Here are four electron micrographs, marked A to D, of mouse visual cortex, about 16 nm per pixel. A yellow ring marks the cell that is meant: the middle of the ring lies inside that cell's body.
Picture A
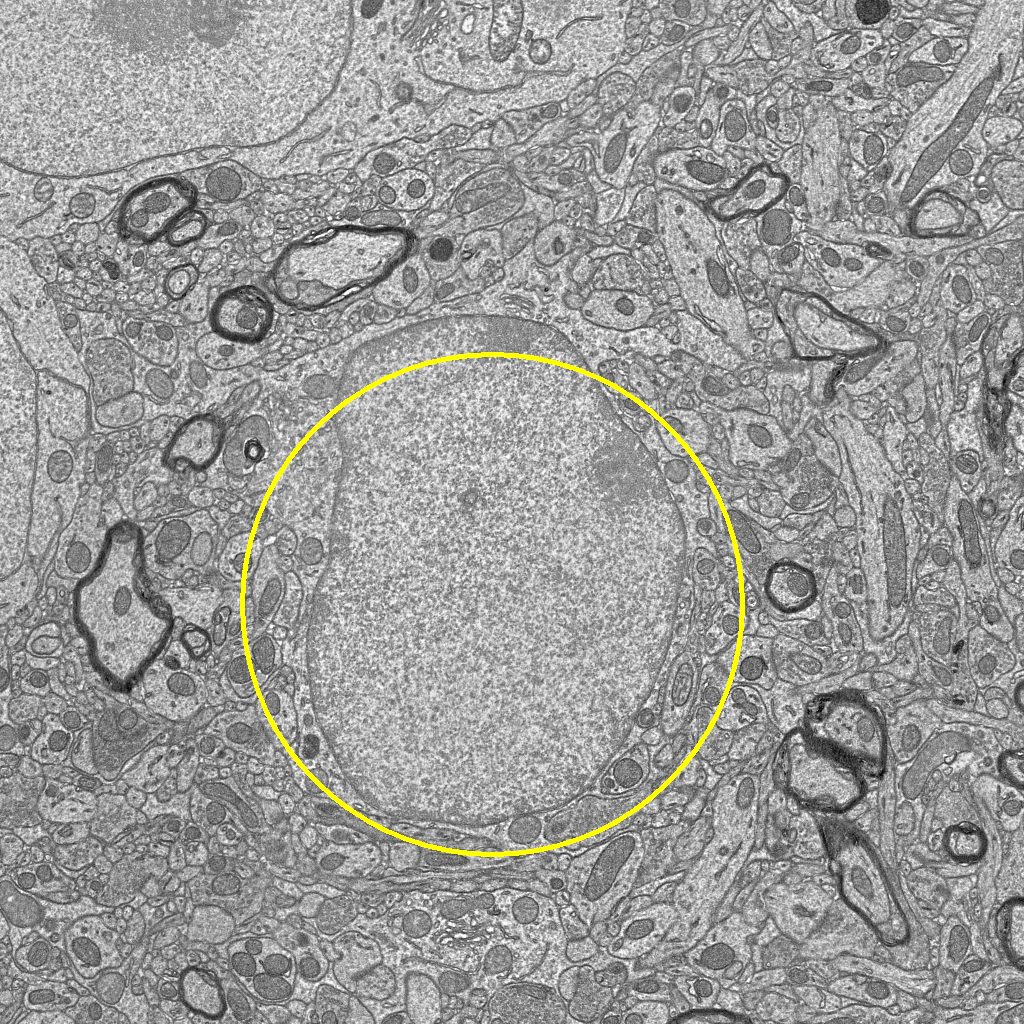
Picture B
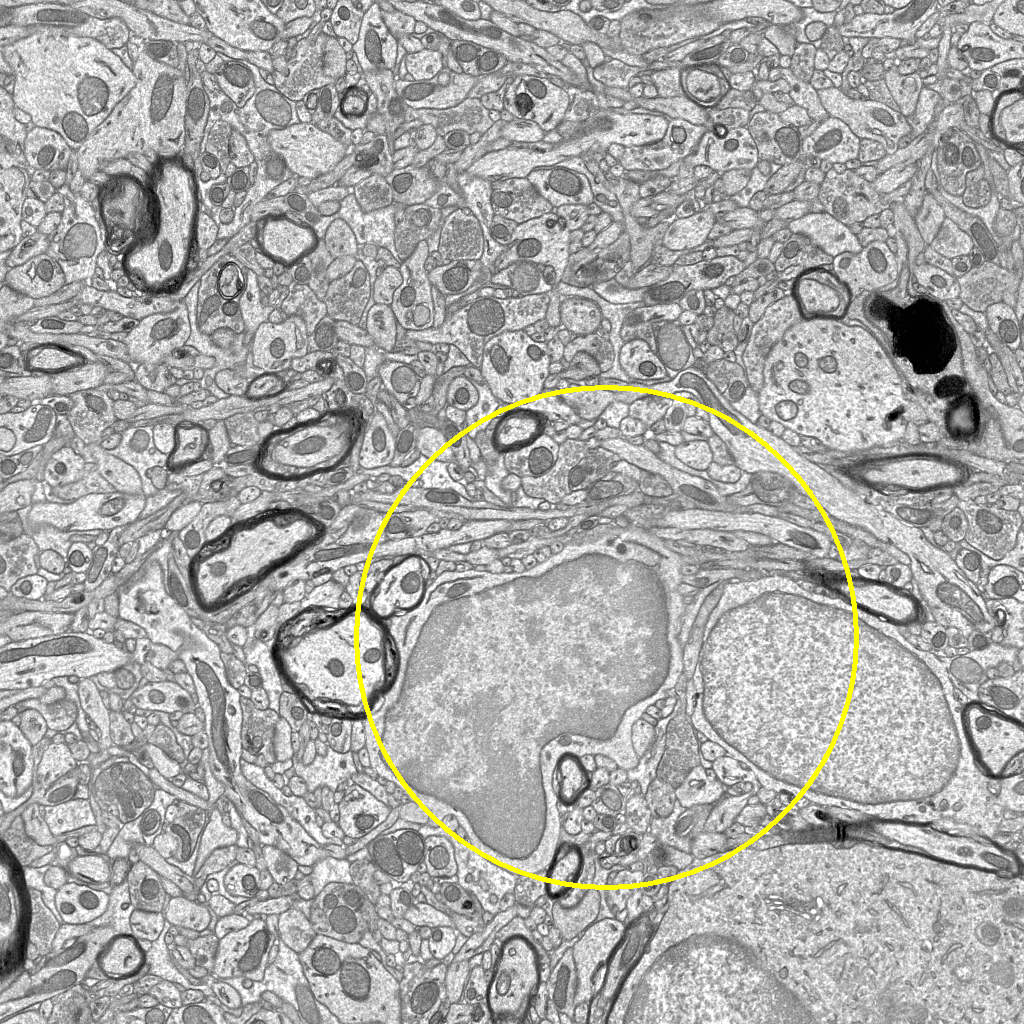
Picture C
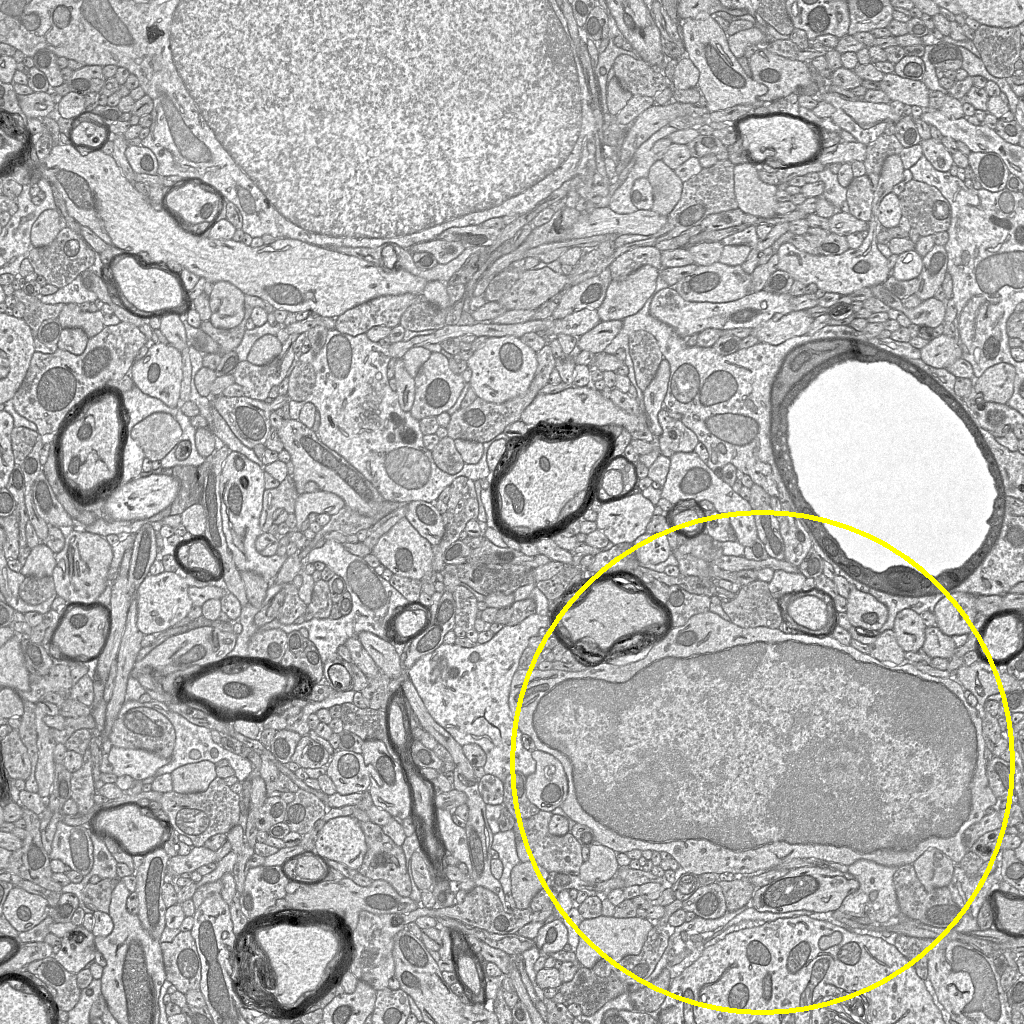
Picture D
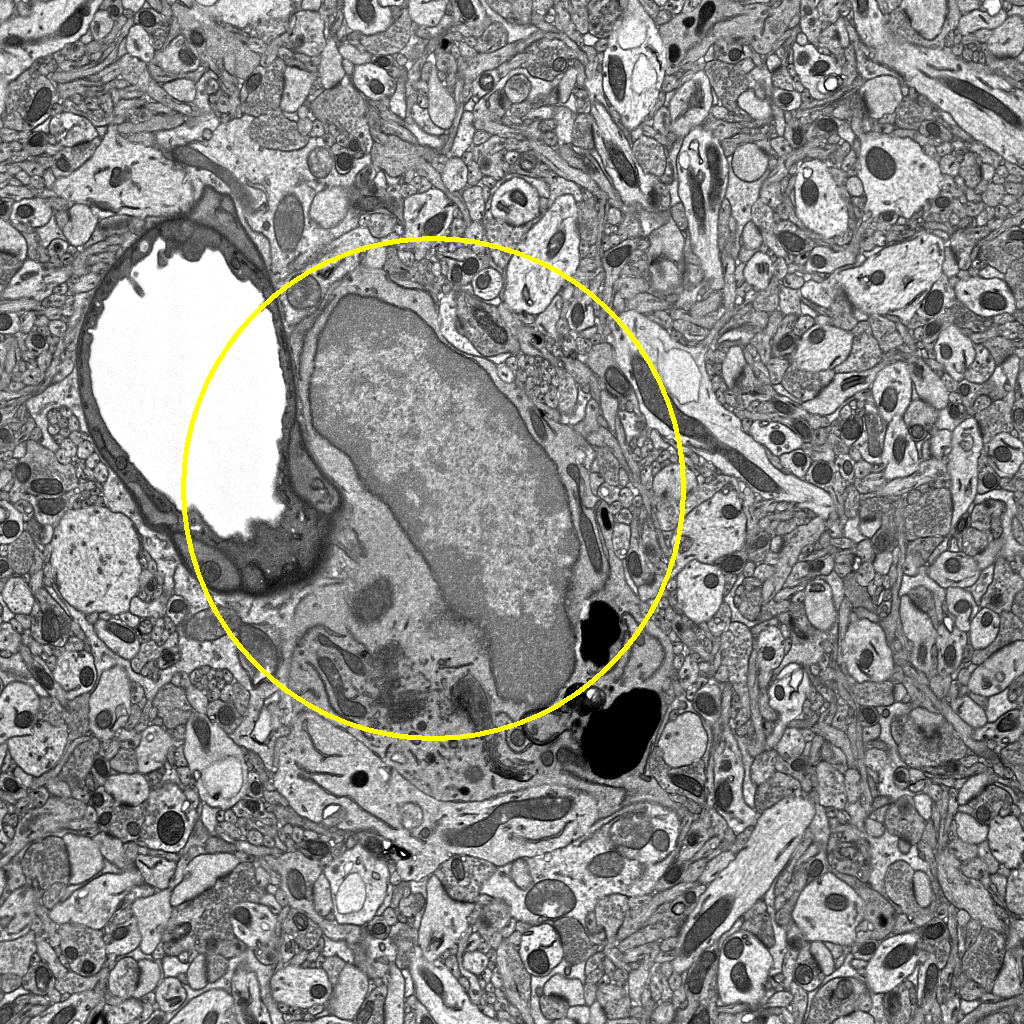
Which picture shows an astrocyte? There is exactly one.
Picture A is the one that shows the astrocyte.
